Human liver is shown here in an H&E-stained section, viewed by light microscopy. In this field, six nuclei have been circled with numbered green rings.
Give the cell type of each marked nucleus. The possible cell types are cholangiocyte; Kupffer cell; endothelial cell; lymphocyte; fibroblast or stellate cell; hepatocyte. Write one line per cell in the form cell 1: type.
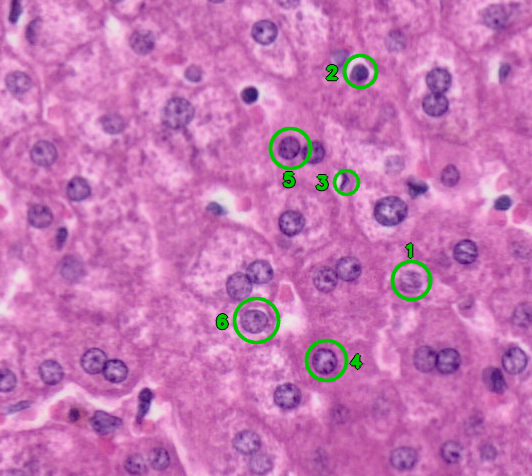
cell 1: hepatocyte
cell 2: lymphocyte
cell 3: endothelial cell
cell 4: hepatocyte
cell 5: hepatocyte
cell 6: hepatocyte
